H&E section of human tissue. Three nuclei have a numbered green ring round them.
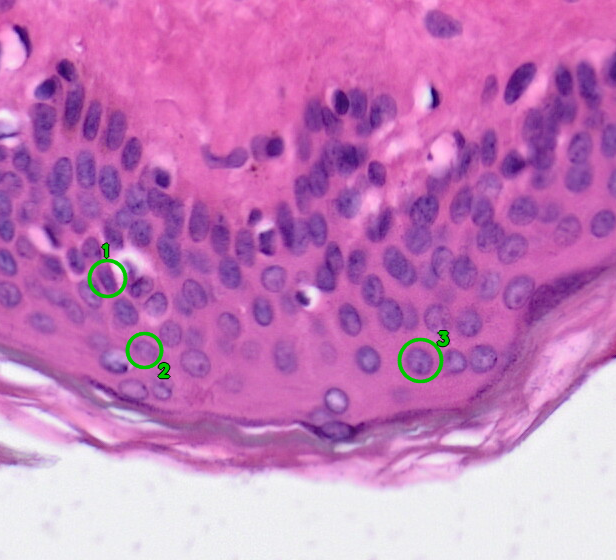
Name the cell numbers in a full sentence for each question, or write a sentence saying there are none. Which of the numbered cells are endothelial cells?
Nowhere among the numbered cells do endothelial cells occur.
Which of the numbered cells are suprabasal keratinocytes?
Identified as suprabasal keratinocytes are the cells numbered 2 and 3.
